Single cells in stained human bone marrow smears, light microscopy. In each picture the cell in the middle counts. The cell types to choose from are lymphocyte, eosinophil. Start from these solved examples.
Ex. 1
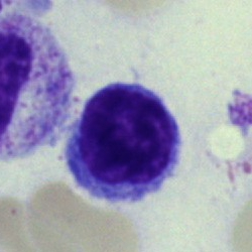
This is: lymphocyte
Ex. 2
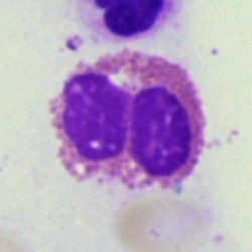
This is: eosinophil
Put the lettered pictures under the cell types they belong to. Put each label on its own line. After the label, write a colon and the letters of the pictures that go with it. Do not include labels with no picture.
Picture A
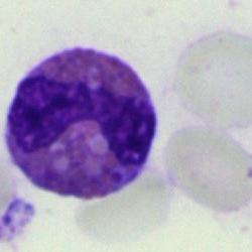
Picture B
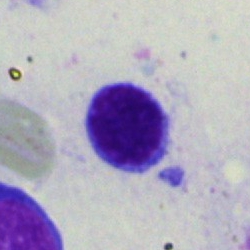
lymphocyte: B
eosinophil: A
